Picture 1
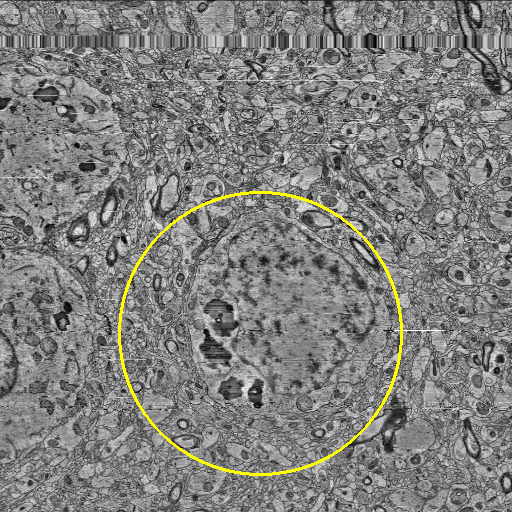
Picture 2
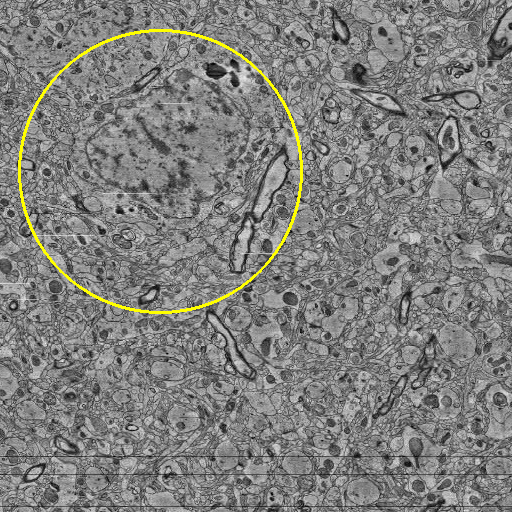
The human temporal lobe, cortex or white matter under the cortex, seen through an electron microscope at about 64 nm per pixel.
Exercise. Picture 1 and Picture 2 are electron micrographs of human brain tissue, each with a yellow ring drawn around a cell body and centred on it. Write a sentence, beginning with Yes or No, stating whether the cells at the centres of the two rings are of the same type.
Yes, the cells at the centres of both rings are of the same type.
